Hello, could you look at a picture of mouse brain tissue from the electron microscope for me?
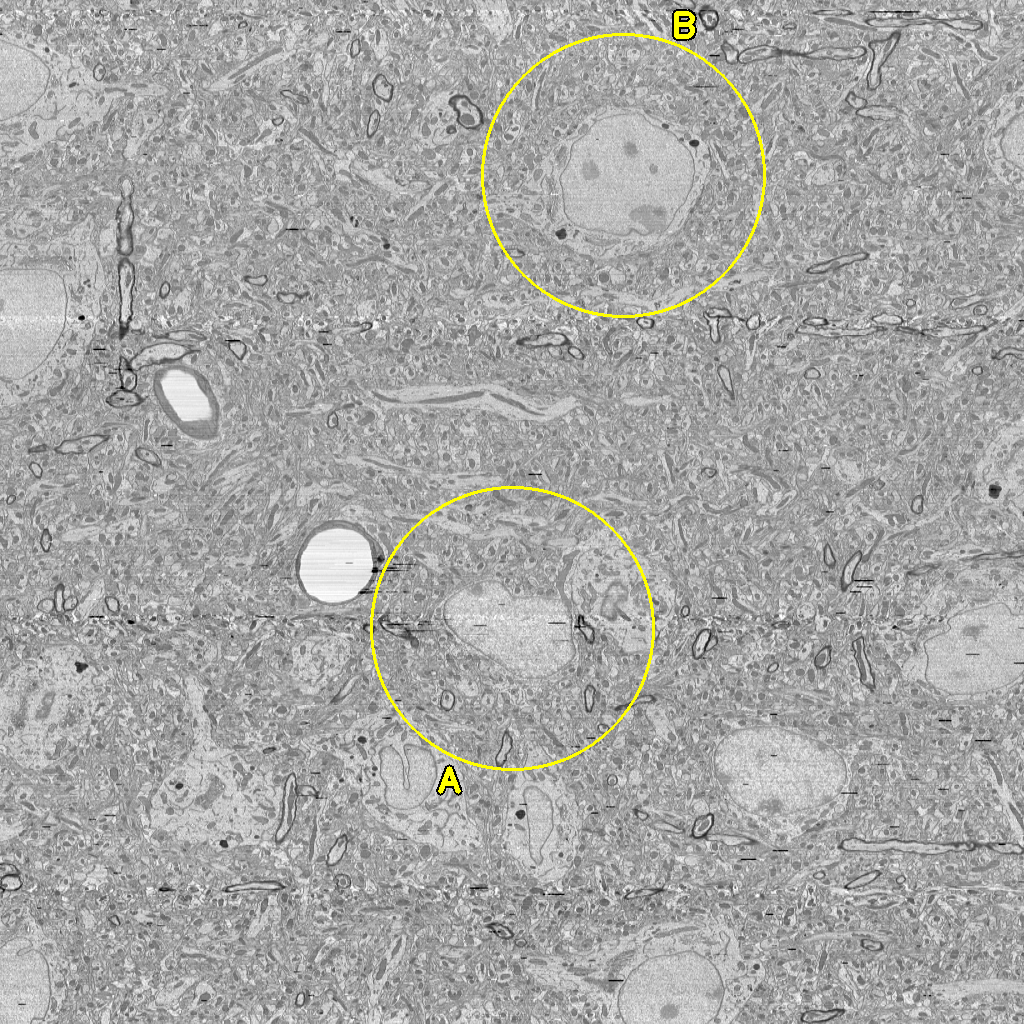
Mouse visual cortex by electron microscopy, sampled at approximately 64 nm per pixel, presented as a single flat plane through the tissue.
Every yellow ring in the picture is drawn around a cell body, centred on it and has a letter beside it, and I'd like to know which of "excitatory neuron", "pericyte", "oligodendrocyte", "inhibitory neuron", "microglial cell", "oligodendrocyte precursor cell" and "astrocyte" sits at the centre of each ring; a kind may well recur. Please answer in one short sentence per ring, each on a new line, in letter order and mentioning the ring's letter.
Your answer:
The cell sitting at the centre of ring A is an astrocyte.
The cell sitting at the centre of ring B is an excitatory neuron.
